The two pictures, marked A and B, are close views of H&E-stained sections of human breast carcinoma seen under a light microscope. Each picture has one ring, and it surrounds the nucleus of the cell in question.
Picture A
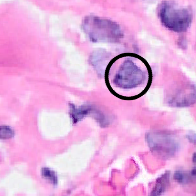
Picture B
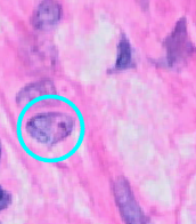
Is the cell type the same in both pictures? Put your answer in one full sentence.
Yes, both cells are carcinoma cells.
